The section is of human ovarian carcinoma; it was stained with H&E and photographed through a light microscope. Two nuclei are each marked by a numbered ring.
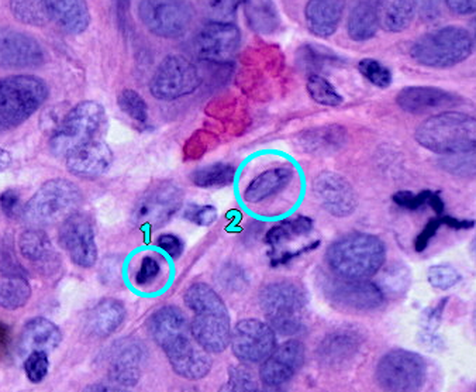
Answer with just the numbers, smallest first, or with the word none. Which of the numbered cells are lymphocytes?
1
